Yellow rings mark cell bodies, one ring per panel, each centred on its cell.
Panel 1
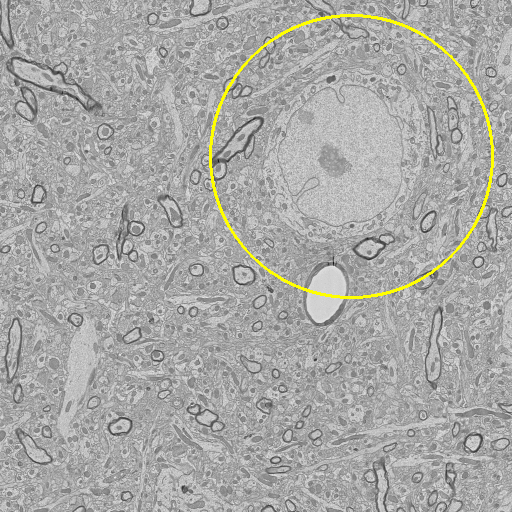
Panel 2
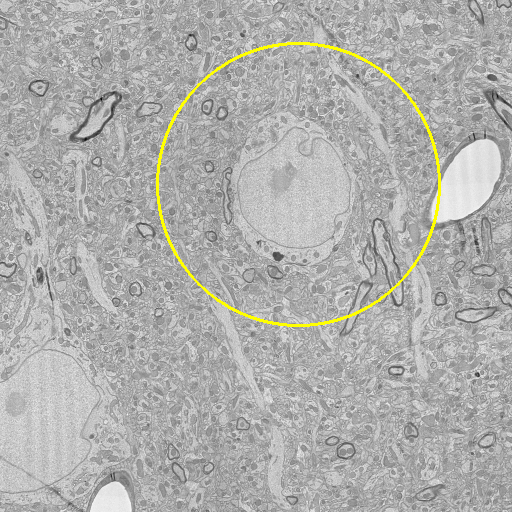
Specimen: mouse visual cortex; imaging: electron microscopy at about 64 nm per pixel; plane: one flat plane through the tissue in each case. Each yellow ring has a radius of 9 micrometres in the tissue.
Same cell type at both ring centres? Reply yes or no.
no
